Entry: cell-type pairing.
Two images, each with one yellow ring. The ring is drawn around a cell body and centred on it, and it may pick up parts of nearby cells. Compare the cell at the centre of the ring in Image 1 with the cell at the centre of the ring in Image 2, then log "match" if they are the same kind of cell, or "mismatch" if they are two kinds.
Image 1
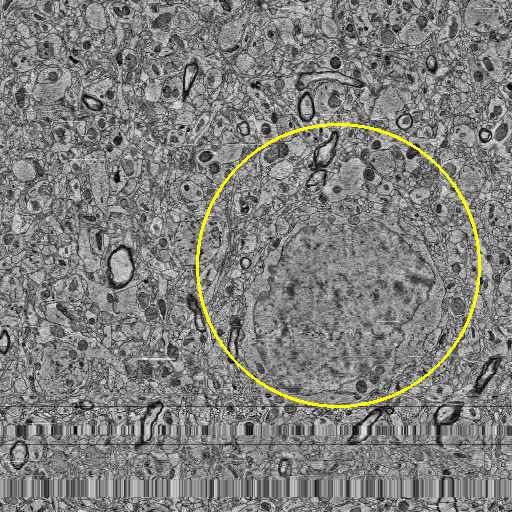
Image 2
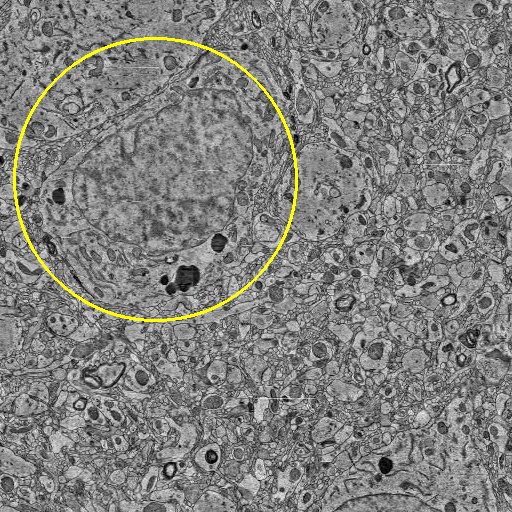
match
